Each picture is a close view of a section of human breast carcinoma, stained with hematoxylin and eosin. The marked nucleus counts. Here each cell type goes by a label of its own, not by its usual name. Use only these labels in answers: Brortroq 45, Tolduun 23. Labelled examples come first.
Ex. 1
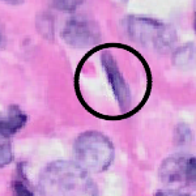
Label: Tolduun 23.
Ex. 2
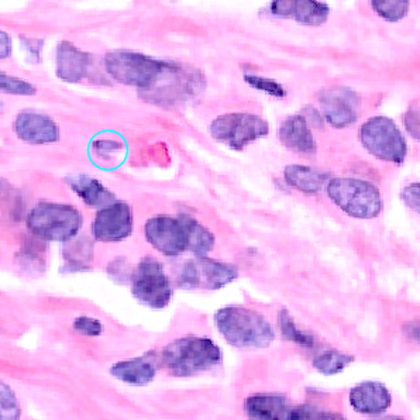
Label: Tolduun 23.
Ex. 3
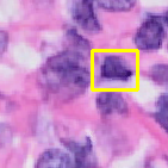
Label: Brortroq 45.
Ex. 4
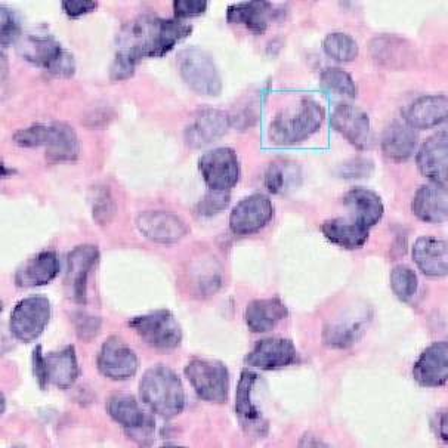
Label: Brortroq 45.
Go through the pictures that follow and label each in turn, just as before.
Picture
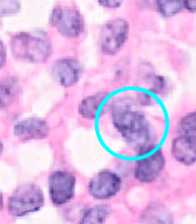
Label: Brortroq 45.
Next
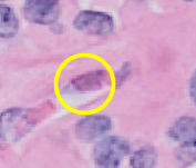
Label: Tolduun 23.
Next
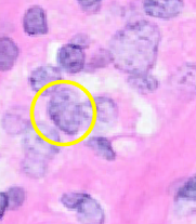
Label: Brortroq 45.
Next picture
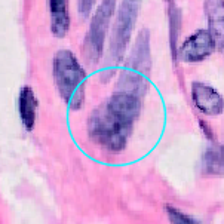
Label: Tolduun 23.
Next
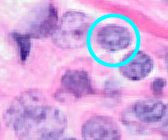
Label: Brortroq 45.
